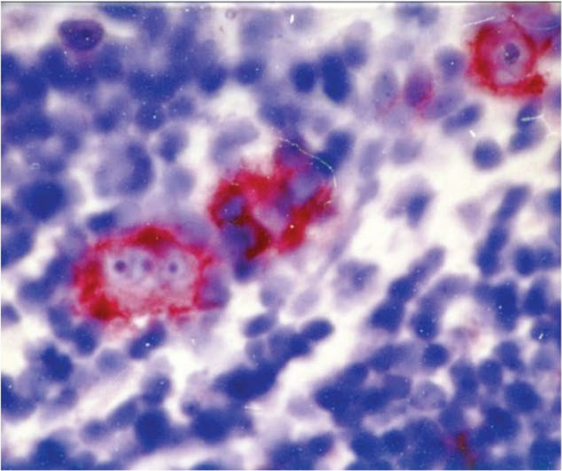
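The large cells stand apart by size; their red stain is concentrated at the cell rim and around the nucleus, leaving paler centres. One large cell at lower left contains two round nuclei with dark nucleoli, another at the upper right shows a single nucleus with a central dot.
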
